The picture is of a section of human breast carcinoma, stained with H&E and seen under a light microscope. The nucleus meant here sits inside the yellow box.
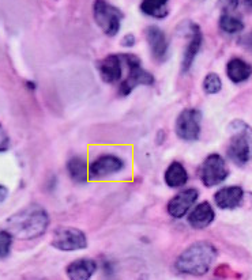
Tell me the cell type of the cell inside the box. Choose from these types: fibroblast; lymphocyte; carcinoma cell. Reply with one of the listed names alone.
lymphocyte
